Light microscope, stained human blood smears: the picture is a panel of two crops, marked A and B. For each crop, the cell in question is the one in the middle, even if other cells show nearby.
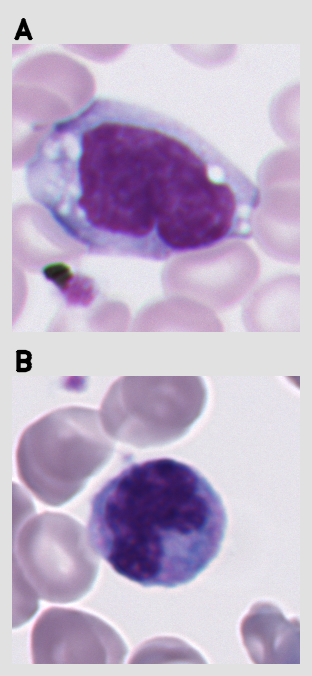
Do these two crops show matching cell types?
yes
